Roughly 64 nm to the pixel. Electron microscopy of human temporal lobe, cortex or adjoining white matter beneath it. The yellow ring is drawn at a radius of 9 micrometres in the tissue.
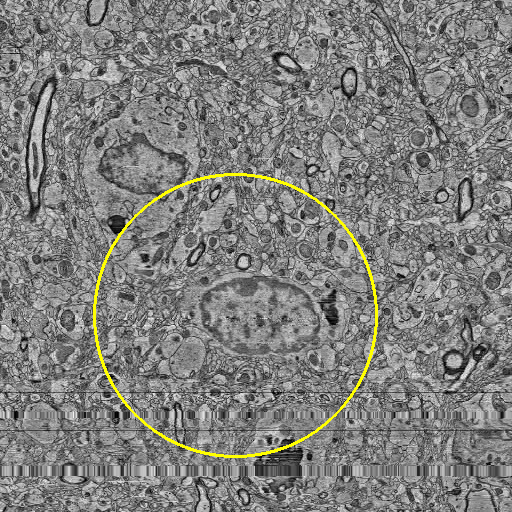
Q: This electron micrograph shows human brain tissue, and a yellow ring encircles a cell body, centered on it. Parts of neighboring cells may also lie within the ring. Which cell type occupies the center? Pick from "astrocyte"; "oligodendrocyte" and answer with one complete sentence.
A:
What sits at the ring's center in this micrograph is an oligodendrocyte, among those choices.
